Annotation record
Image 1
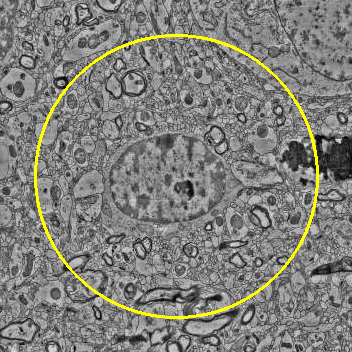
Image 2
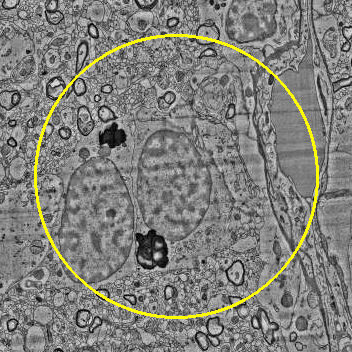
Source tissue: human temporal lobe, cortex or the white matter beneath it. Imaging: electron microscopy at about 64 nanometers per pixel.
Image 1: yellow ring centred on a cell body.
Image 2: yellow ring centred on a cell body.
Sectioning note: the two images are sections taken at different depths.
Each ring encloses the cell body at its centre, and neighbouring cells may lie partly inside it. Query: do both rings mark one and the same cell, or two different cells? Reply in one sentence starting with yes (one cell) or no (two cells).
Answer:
No, the two rings enclose two cells that are not the same.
